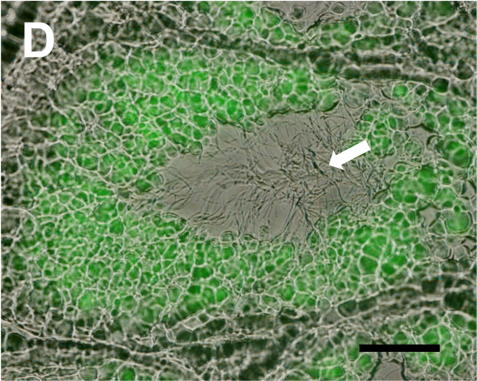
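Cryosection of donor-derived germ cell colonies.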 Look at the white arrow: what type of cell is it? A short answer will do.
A: sperm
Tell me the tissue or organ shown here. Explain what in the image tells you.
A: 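An elongated central lumen is ringed by a thick layer of many packed cells. The cells of the layer form a continuous epithelium around the lumen.
Seminiferous tubule.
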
